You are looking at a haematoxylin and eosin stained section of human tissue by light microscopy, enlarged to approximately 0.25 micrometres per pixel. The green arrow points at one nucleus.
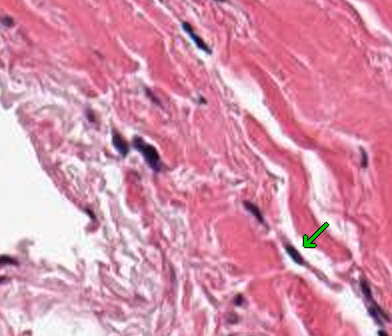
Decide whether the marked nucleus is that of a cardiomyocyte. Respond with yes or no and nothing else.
no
